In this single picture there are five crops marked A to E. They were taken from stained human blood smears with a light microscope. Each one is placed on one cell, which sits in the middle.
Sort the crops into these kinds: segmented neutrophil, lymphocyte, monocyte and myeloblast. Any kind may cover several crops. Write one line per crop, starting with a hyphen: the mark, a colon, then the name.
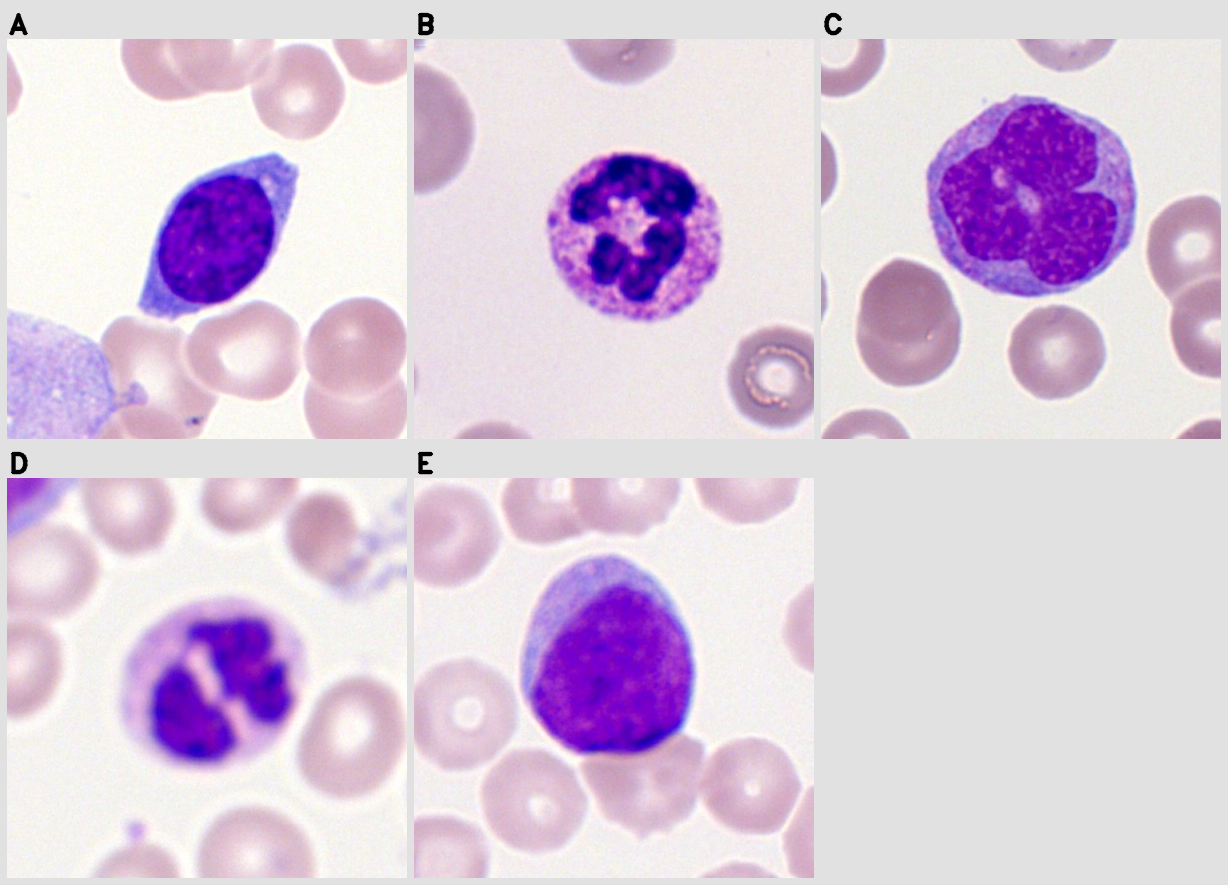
- A: lymphocyte
- B: segmented neutrophil
- C: monocyte
- D: segmented neutrophil
- E: myeloblast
